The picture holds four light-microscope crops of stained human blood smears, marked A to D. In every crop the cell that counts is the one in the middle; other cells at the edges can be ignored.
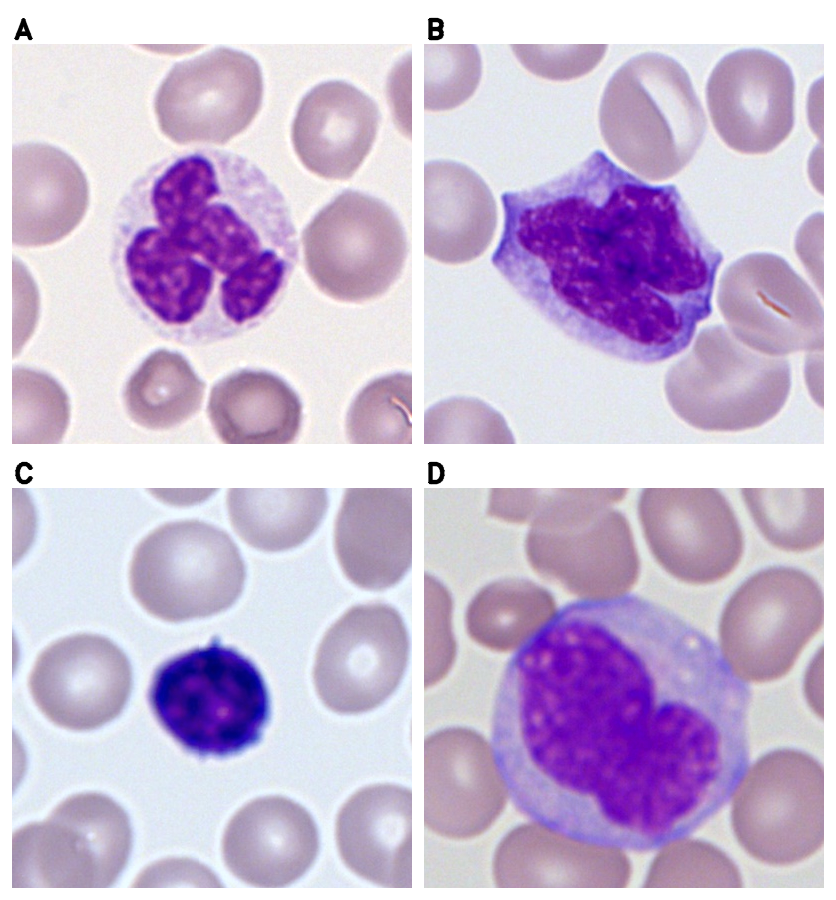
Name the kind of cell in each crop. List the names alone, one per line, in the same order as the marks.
segmented neutrophil
monocyte
lymphocyte
monocyte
